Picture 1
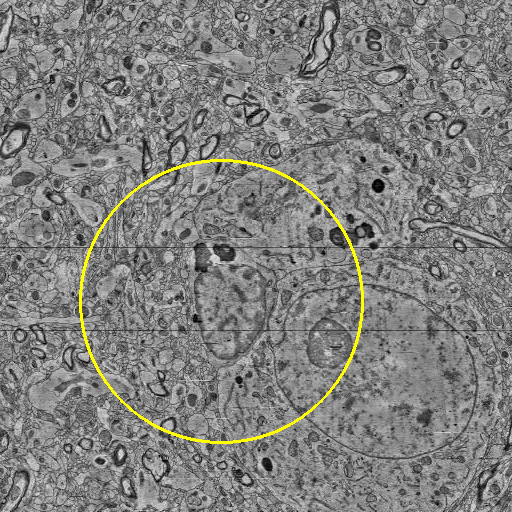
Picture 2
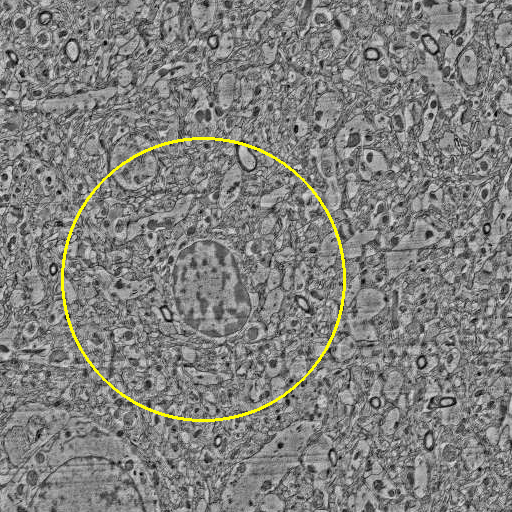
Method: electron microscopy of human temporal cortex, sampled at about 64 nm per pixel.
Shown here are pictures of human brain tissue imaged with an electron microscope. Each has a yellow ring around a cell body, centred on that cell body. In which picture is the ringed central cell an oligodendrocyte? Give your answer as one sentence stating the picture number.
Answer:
My answer is picture 1, where the ringed cell at the centre is the one sought.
